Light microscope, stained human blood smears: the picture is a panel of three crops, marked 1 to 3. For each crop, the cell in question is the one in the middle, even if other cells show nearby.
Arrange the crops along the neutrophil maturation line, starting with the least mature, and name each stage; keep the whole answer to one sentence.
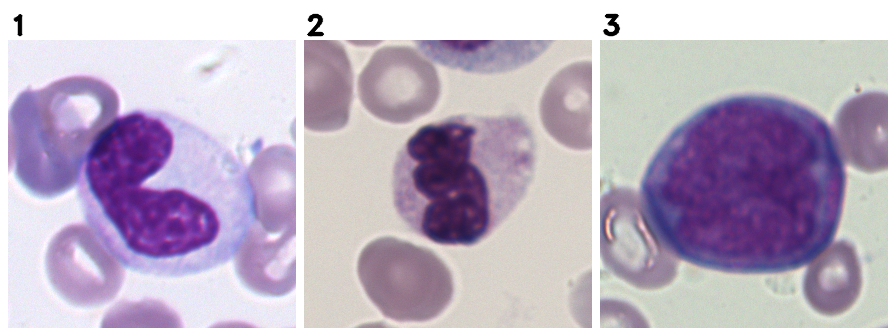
The sequence of maturation runs crop 3 (a promyelocyte), crop 1 (a band neutrophil) and crop 2 (a segmented neutrophil), from least to most mature.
